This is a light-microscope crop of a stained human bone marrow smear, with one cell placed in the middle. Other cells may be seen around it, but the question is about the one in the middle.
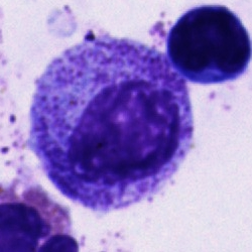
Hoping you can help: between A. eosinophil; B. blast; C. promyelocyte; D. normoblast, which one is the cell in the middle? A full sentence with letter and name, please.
Option C is correct in that the central cell is a promyelocyte.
